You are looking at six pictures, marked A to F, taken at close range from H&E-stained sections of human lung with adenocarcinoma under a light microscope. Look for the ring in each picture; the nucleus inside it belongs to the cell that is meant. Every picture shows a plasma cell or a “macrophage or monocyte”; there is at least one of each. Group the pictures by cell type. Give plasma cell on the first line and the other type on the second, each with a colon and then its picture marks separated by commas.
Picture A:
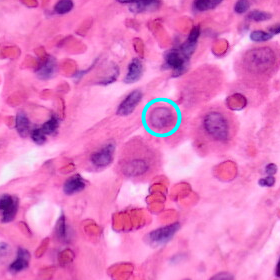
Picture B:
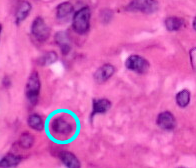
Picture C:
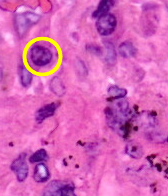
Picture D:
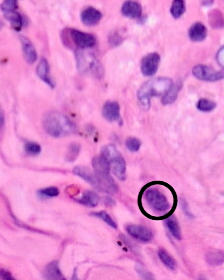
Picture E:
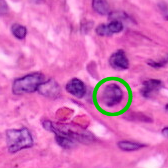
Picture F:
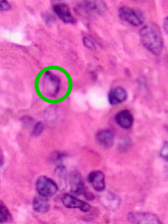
plasma cell: B, C, D, E
macrophage or monocyte: A, F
